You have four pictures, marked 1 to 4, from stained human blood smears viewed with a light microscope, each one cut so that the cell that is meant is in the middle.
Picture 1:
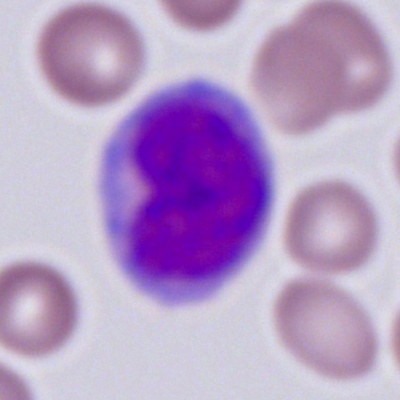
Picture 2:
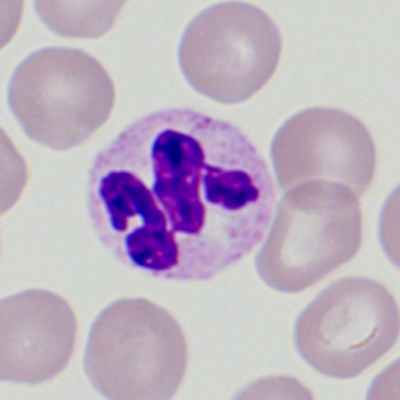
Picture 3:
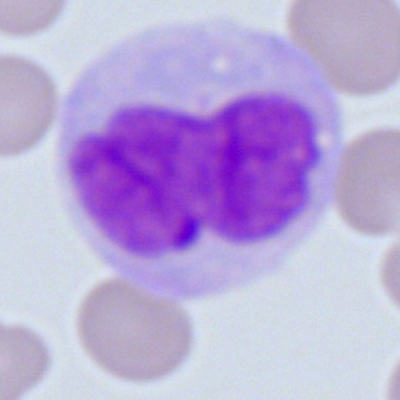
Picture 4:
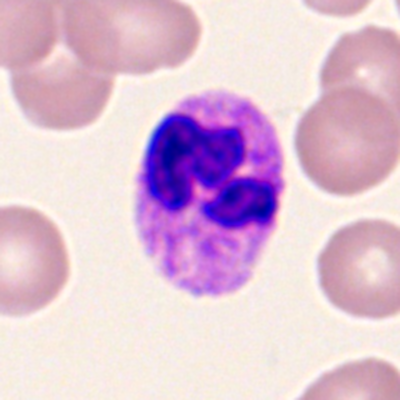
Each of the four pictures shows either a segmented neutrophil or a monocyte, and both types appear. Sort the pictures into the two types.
1: monocyte
2: segmented neutrophil
3: monocyte
4: segmented neutrophil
